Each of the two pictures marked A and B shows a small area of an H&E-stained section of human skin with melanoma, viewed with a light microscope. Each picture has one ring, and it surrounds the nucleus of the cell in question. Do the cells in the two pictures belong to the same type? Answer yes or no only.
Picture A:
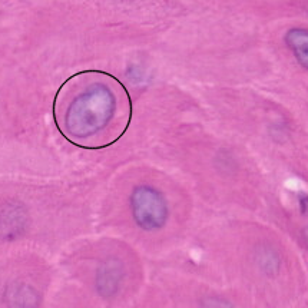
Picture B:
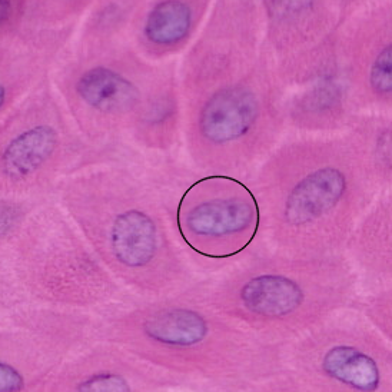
yes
